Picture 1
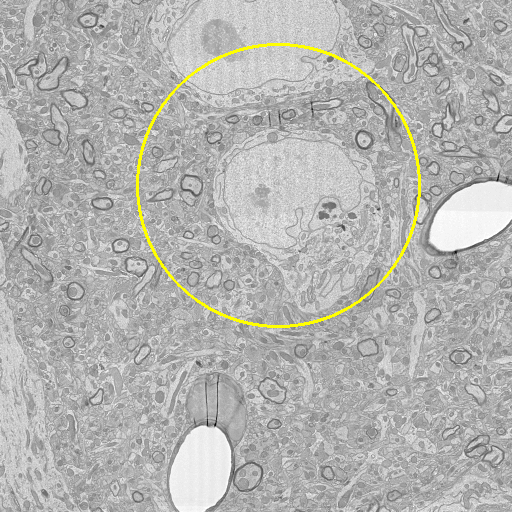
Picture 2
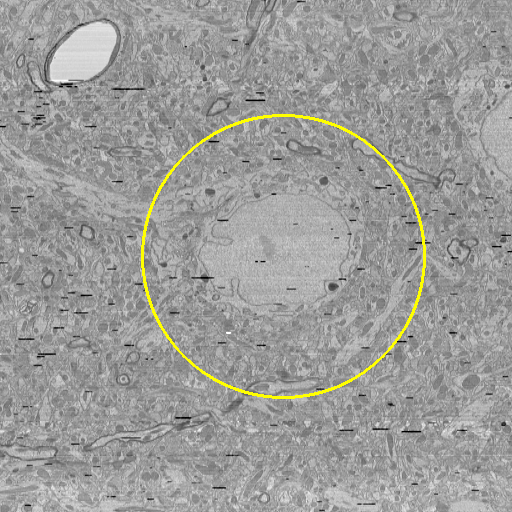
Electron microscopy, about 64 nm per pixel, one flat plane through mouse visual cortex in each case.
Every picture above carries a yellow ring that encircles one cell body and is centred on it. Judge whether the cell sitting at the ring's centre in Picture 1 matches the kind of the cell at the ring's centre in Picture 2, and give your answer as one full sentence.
Yes, the cells centred in the rings of Pictures 1 and 2 belong to one kind.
